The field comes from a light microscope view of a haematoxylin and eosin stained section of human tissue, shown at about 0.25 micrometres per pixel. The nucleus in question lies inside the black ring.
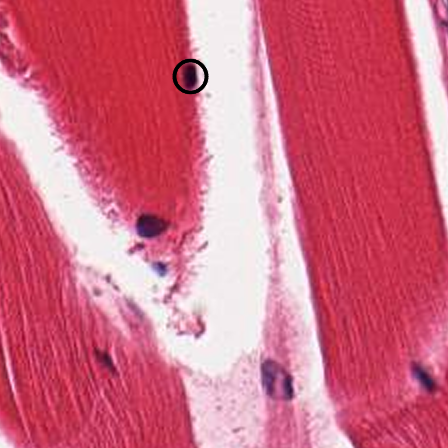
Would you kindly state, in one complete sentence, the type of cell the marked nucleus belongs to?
Within a skeletal muscle fibre lies the marked nucleus.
